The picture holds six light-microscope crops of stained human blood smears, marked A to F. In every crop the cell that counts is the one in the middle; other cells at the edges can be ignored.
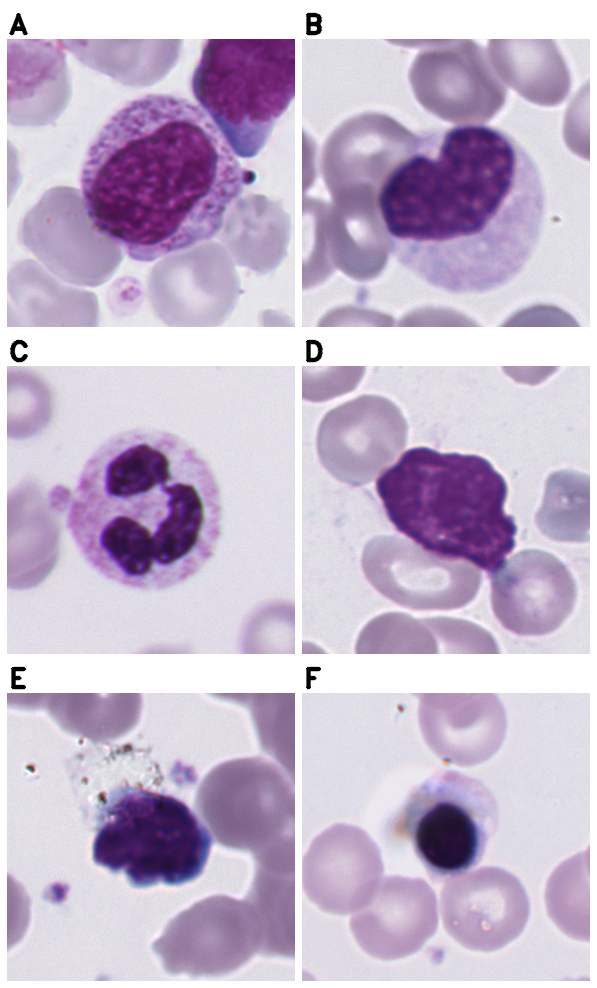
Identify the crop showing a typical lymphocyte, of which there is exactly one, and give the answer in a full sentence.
So the crop with a typical lymphocyte at its center is crop E.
